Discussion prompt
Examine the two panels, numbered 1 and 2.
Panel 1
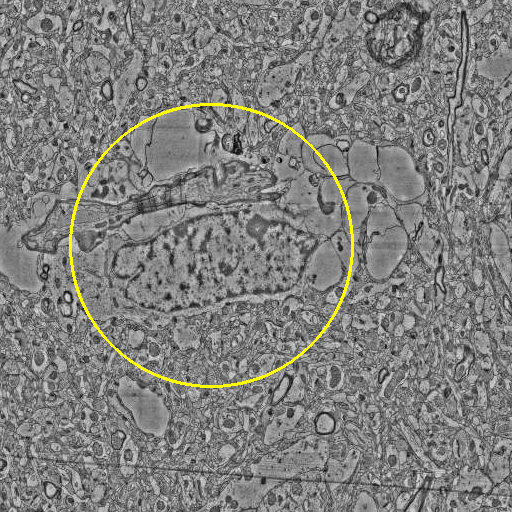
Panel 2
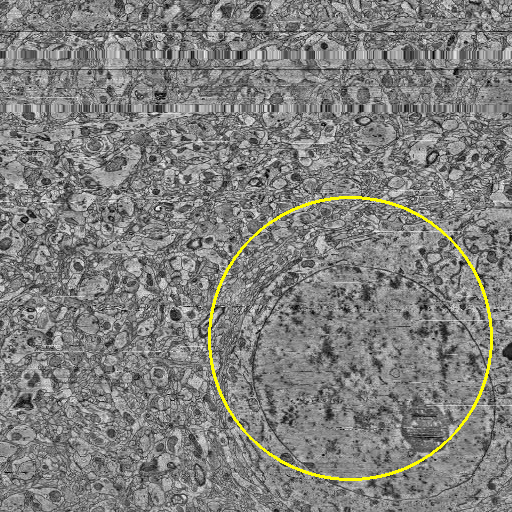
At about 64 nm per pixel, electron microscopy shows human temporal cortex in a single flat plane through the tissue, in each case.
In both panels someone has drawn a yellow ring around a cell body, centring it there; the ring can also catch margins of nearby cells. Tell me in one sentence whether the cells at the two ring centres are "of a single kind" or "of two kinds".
Taken together, the two cells centred in the rings of Panels 1 and 2 are of two kinds.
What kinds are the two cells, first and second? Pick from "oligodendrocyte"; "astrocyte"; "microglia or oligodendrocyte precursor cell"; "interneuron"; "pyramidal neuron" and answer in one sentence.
The second picture holds a pyramidal neuron in its ring, and the first holds a microglial cell or oligodendrocyte precursor cell.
